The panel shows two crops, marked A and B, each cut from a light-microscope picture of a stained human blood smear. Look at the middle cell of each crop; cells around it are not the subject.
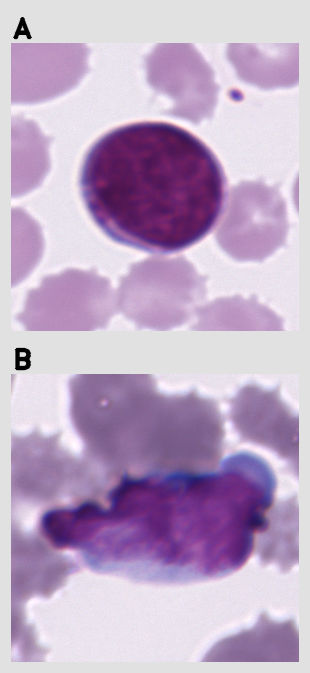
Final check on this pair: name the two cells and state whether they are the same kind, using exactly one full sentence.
Yes, the two cells in the two crops are myeloblasts.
